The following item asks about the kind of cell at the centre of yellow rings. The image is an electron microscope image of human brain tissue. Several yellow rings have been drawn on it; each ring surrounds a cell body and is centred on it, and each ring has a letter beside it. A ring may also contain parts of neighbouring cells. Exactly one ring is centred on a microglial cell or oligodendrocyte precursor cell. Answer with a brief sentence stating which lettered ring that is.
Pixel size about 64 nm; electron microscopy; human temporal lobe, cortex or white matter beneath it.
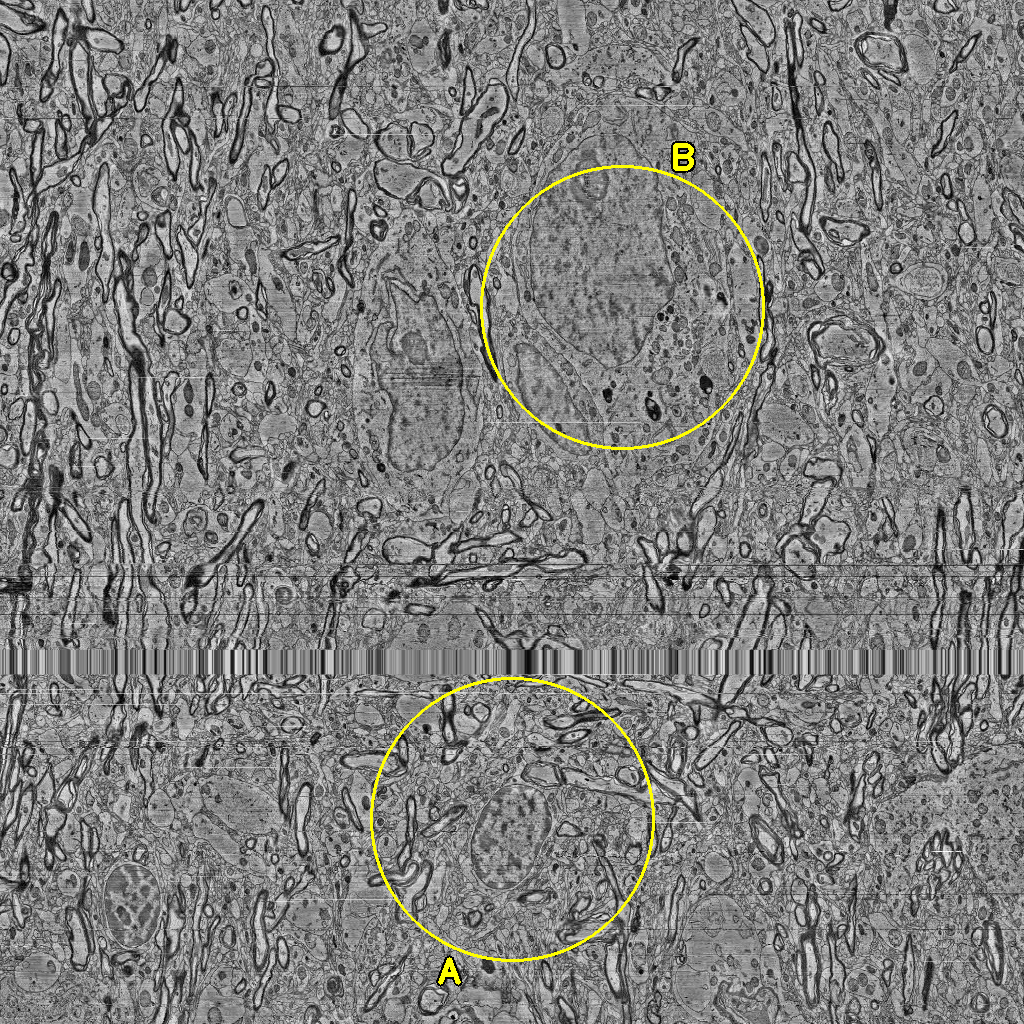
That is ring A.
